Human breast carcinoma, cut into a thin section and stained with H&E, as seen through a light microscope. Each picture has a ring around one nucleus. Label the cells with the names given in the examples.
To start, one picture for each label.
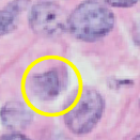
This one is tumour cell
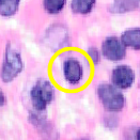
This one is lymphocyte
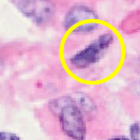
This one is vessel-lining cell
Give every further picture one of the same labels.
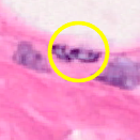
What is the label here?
vessel-lining cell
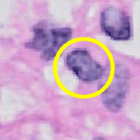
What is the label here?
tumour cell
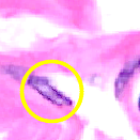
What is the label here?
vessel-lining cell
